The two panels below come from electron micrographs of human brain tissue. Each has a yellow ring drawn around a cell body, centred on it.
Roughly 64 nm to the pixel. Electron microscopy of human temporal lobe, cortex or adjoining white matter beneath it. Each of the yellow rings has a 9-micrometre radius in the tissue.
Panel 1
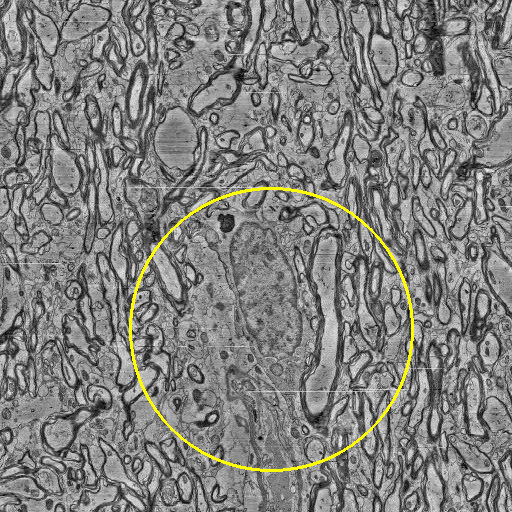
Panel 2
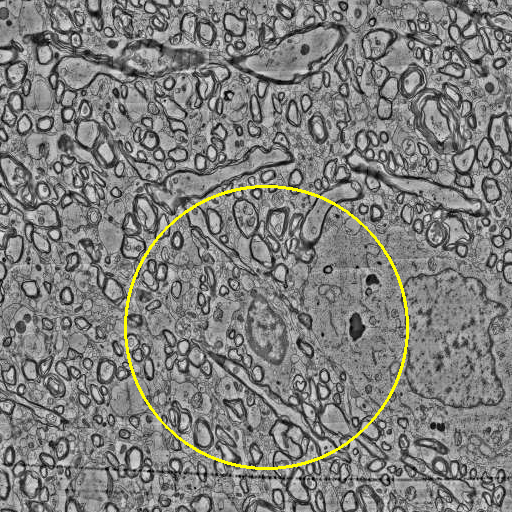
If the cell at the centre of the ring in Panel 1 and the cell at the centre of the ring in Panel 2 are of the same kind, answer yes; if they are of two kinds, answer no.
yes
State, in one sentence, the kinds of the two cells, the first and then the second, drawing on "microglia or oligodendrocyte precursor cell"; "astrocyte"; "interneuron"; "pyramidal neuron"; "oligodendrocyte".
The first and the second cell are each an oligodendrocyte.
